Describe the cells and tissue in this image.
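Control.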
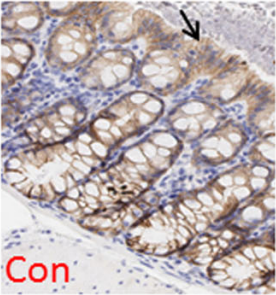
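This is colonic mucosa with tubular crypts lined by columnar epithelium rich in goblet cells, whose pale mucus vacuoles fill much of each crypt wall. A brown stain outlines the borders of the epithelial cells along the crypts and the surface, while the lamina propria between the crypts shows only blue nuclei.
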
